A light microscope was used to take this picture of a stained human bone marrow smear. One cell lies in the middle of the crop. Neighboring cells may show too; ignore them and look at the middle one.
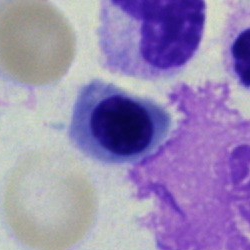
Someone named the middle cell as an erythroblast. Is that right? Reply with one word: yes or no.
yes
